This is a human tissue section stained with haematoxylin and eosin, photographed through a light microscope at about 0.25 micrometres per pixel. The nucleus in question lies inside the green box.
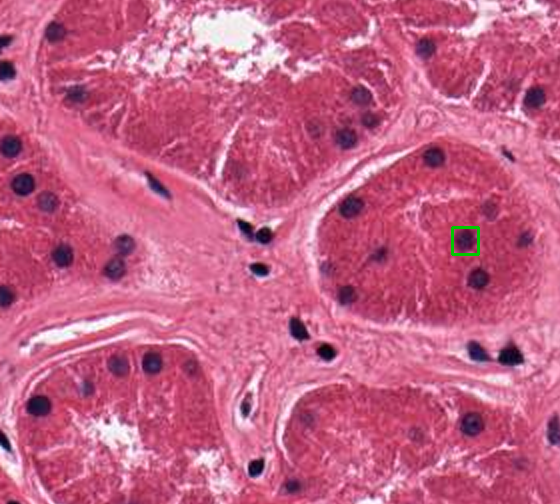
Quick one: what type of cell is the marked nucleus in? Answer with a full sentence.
The nucleus indicated by the mark belongs to a proximal tubule cell.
